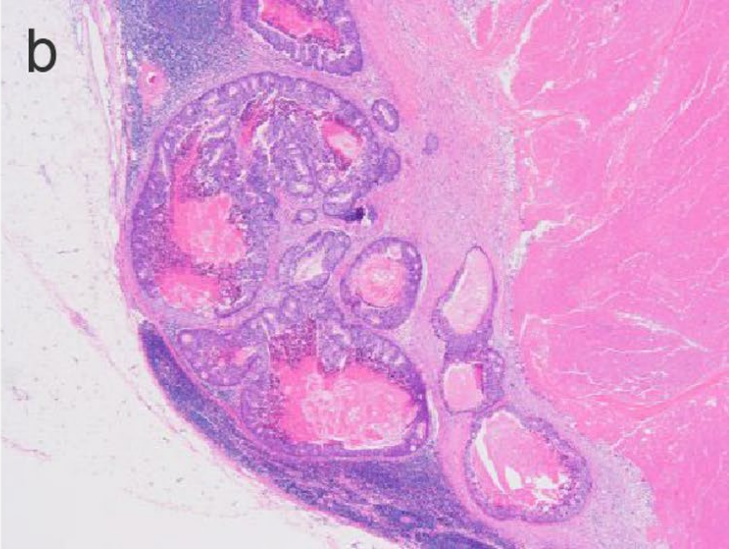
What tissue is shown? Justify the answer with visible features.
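Lymph node. A dense band of small dark-blue lymphocytes runs along the left and lower edge. Pale loose fatty tissue lies outside this band.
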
